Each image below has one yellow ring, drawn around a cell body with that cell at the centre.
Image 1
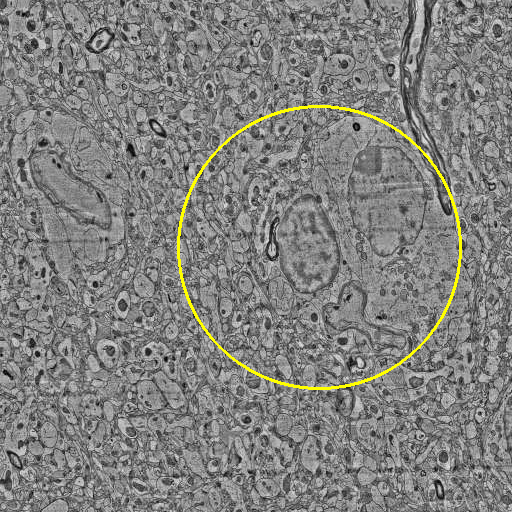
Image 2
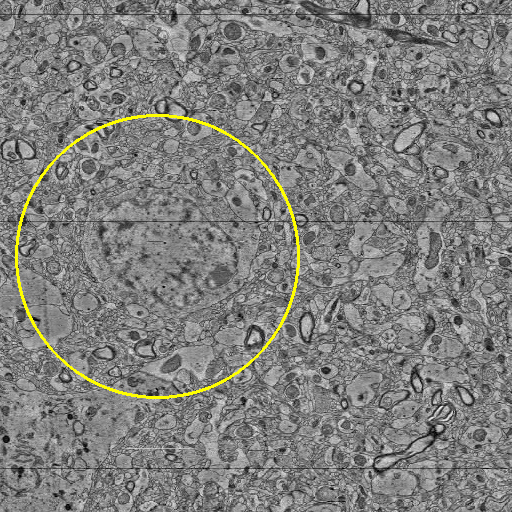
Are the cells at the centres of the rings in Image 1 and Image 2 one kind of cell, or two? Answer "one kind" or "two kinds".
two kinds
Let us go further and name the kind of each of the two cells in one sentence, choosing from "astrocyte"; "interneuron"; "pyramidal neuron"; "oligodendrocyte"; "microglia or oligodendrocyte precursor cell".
The ring of the first picture is on an oligodendrocyte, the ring of the second on an interneuron.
